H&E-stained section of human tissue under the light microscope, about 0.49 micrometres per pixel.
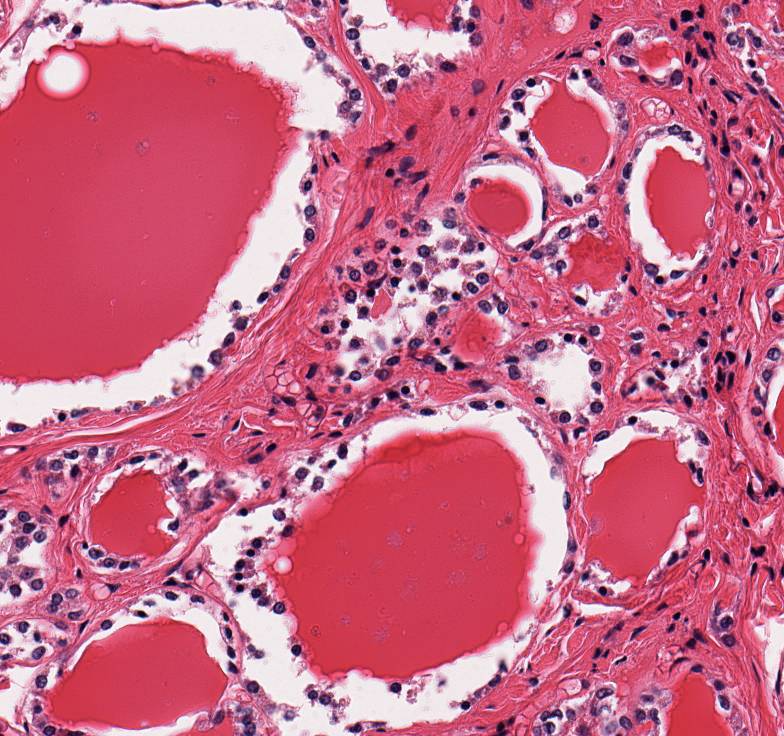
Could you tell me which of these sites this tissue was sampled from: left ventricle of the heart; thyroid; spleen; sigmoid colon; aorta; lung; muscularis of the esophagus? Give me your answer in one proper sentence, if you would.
This material was sampled from the thyroid.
